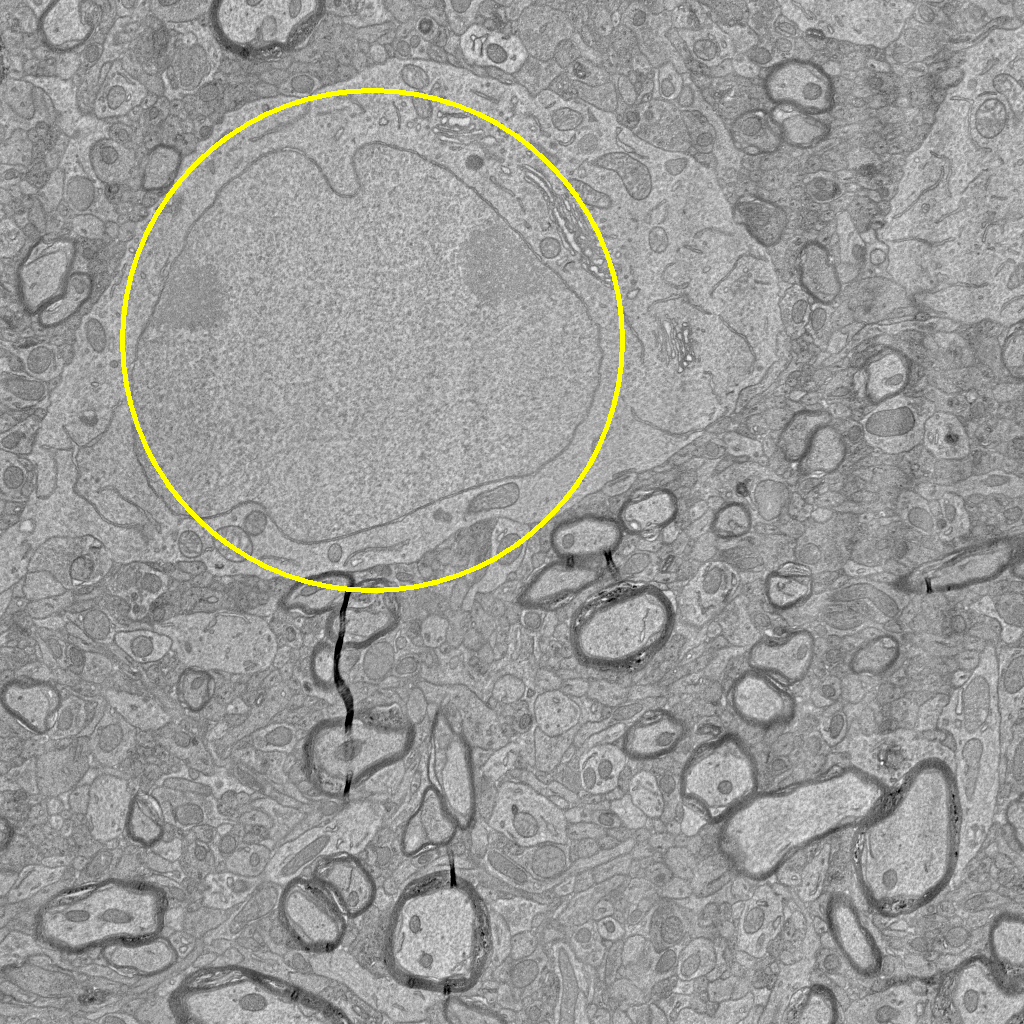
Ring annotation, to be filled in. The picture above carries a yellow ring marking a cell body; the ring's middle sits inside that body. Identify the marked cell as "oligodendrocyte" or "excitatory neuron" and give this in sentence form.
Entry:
The cell at the middle of the ring is an excitatory neuron.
